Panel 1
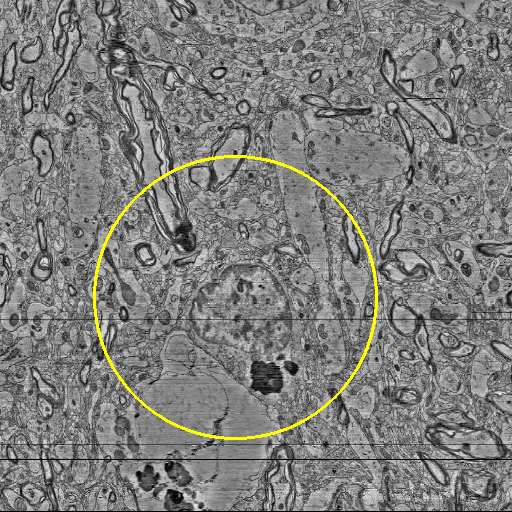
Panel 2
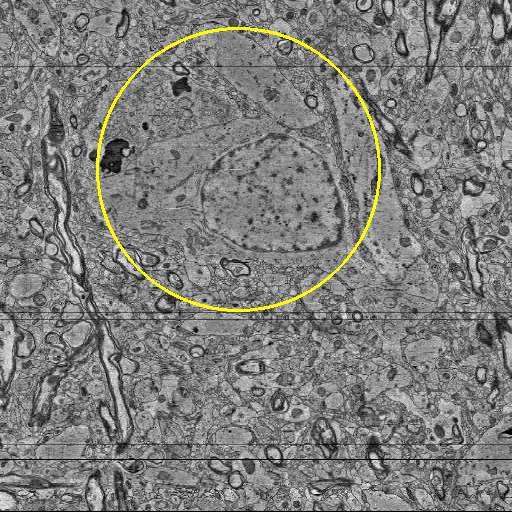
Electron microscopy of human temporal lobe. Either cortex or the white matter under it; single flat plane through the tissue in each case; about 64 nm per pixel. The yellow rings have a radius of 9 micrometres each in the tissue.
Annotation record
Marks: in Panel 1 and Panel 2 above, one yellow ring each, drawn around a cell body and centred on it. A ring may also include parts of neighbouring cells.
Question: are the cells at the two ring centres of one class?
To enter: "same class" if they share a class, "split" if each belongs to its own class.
split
